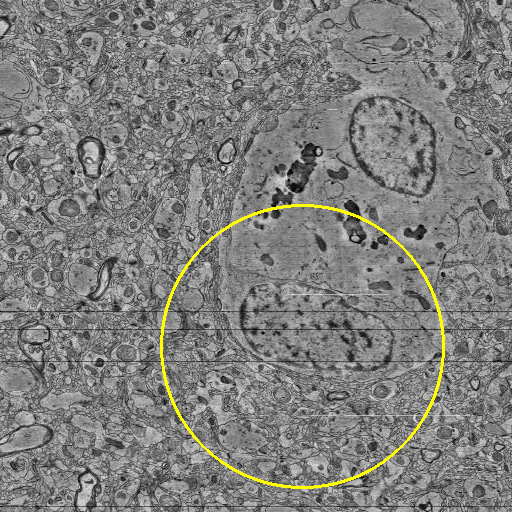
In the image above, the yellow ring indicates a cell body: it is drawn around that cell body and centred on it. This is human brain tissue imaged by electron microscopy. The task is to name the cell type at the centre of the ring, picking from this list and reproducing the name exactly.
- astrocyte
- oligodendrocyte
astrocyte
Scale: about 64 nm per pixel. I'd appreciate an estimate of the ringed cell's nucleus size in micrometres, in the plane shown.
Roughly 10 by 5 micrometres is the size of the nucleus in this plane.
